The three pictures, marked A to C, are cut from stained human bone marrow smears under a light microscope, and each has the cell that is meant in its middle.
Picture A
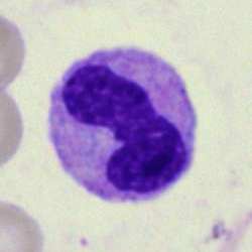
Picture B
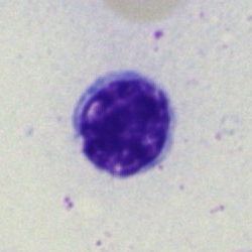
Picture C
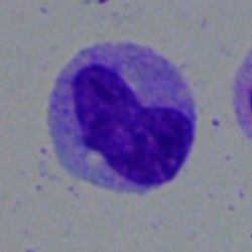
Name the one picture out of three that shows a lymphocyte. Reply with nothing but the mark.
B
